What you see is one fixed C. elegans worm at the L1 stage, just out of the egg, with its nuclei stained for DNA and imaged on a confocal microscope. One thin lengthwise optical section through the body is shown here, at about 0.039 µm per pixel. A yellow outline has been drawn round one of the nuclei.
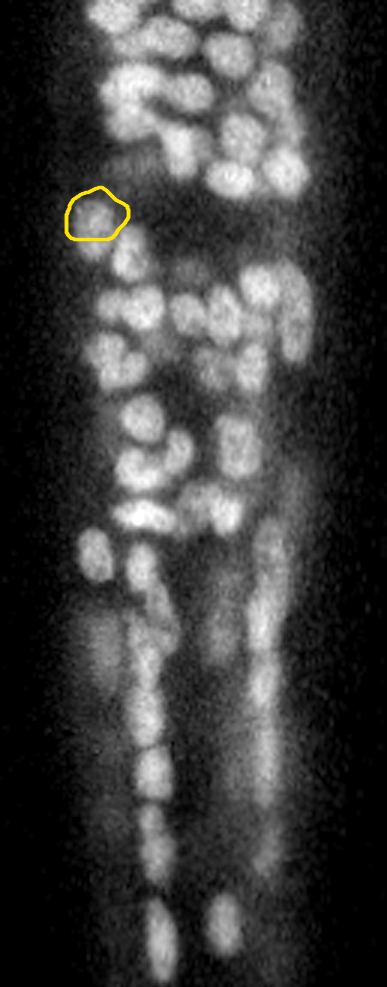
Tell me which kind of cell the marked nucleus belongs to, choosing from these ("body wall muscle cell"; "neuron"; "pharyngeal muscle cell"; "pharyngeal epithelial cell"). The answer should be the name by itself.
body wall muscle cell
